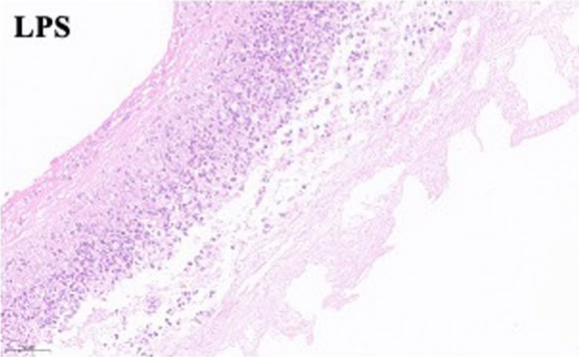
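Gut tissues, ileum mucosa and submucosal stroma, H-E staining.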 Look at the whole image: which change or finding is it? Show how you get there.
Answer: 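A broad band of densely packed small, dark purple round nuclei fills much of the wall. The normal orderly gland pattern of the mucosa is not recognisable in this band. The answer: serious leukocyte permeation.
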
